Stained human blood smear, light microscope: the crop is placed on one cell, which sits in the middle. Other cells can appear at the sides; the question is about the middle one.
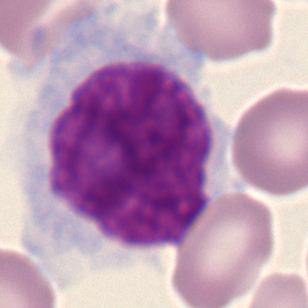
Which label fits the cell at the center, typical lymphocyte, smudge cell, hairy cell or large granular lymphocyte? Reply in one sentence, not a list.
By classification, the middle cell of this crop is a hairy cell.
